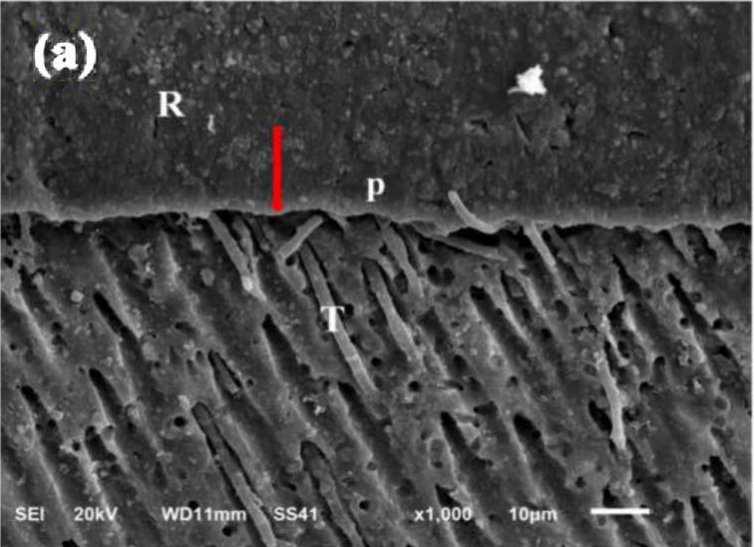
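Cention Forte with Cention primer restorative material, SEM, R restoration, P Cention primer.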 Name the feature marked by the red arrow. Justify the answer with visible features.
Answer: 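Hybrid like layer. The arrow ends on a thin bright line where the upper restoration meets the lower dentin. The line runs along the whole width of the panel between the two materials.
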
